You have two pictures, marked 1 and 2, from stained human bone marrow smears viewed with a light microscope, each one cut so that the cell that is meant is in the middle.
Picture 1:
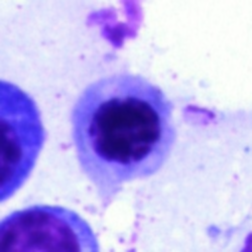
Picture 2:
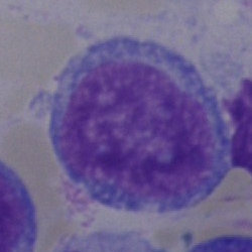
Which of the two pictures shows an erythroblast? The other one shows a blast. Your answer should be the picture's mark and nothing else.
1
